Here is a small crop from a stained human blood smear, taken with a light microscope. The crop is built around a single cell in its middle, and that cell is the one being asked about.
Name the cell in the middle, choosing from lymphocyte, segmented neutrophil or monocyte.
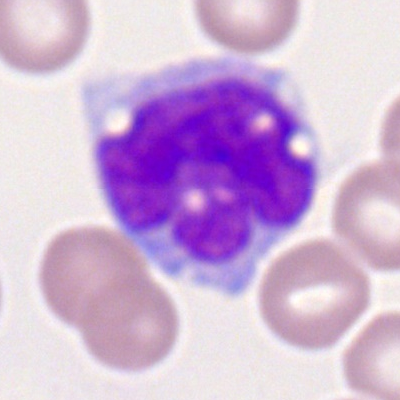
monocyte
